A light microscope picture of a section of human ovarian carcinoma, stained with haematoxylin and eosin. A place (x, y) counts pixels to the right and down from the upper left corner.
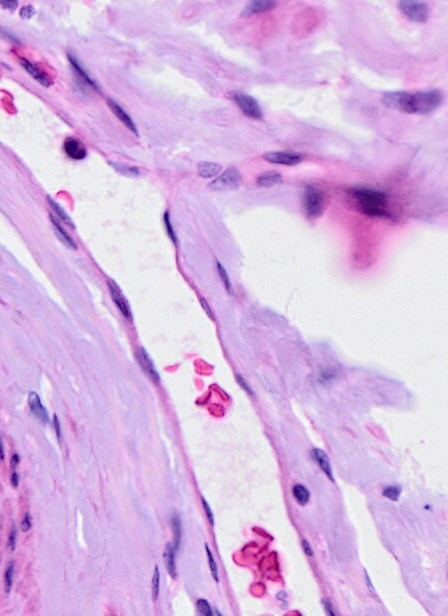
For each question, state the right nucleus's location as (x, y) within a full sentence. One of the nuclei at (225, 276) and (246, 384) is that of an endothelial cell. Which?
In this pair, the nucleus at (246, 384) belongs to an endothelial cell.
